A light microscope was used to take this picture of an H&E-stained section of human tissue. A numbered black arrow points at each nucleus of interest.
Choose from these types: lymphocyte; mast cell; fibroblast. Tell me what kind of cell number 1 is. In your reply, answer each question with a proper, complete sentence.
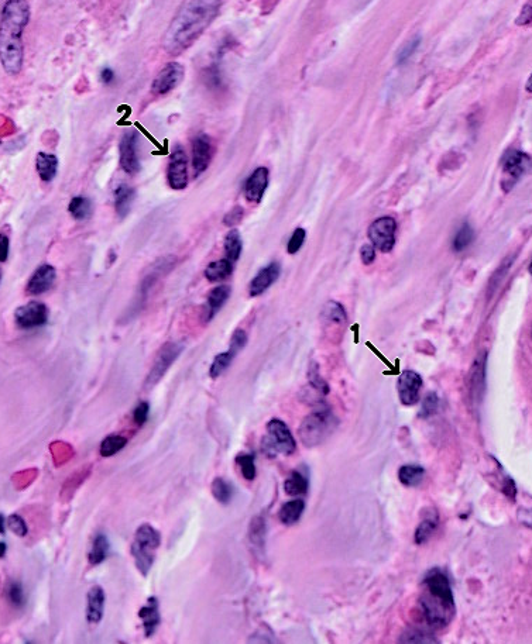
Heads up, the cell numbered 1 is a lymphocyte.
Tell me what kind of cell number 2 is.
Corresponding to a mast cell is the cell labelled 2.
